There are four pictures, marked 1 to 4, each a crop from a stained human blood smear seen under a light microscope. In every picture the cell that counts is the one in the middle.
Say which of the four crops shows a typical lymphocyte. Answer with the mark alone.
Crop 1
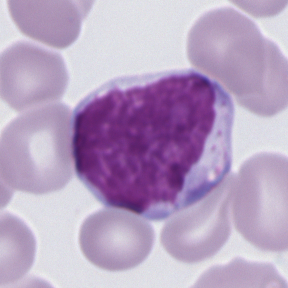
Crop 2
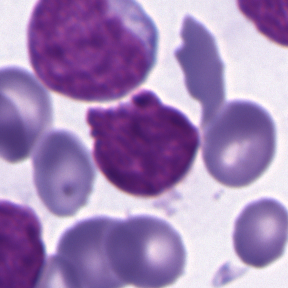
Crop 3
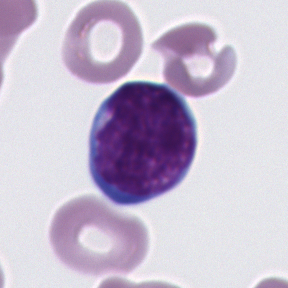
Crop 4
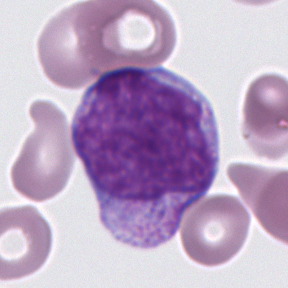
3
